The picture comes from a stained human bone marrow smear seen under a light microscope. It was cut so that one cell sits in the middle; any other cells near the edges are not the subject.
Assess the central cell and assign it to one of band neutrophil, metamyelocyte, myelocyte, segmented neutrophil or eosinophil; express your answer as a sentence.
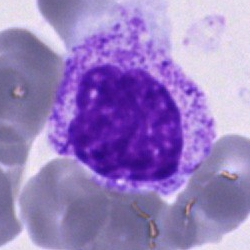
The middle cell in this particular crop is a myelocyte.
